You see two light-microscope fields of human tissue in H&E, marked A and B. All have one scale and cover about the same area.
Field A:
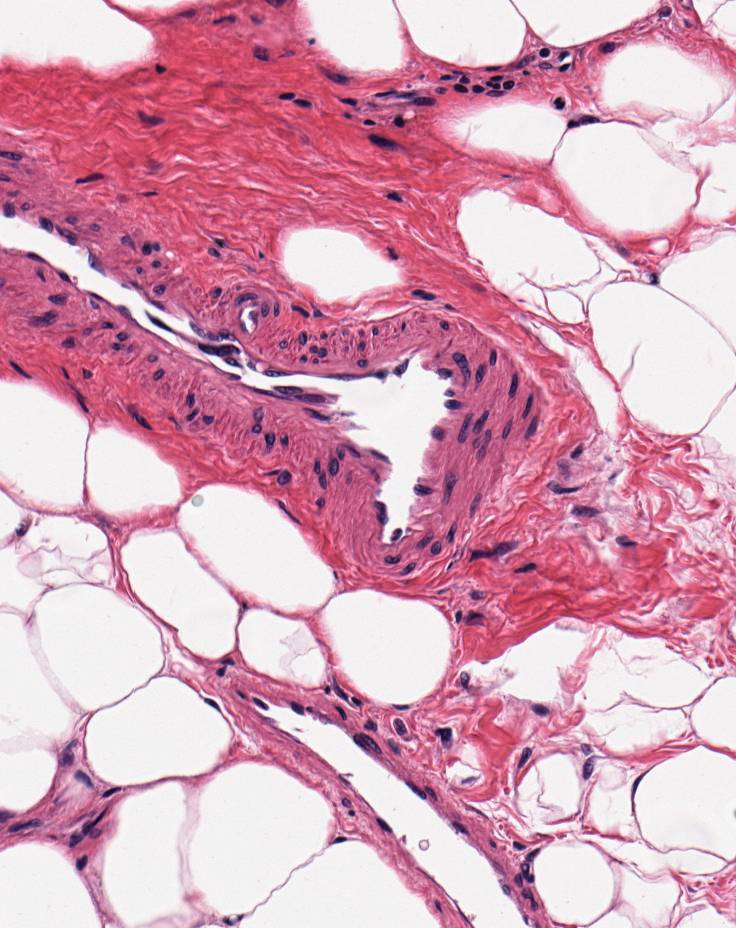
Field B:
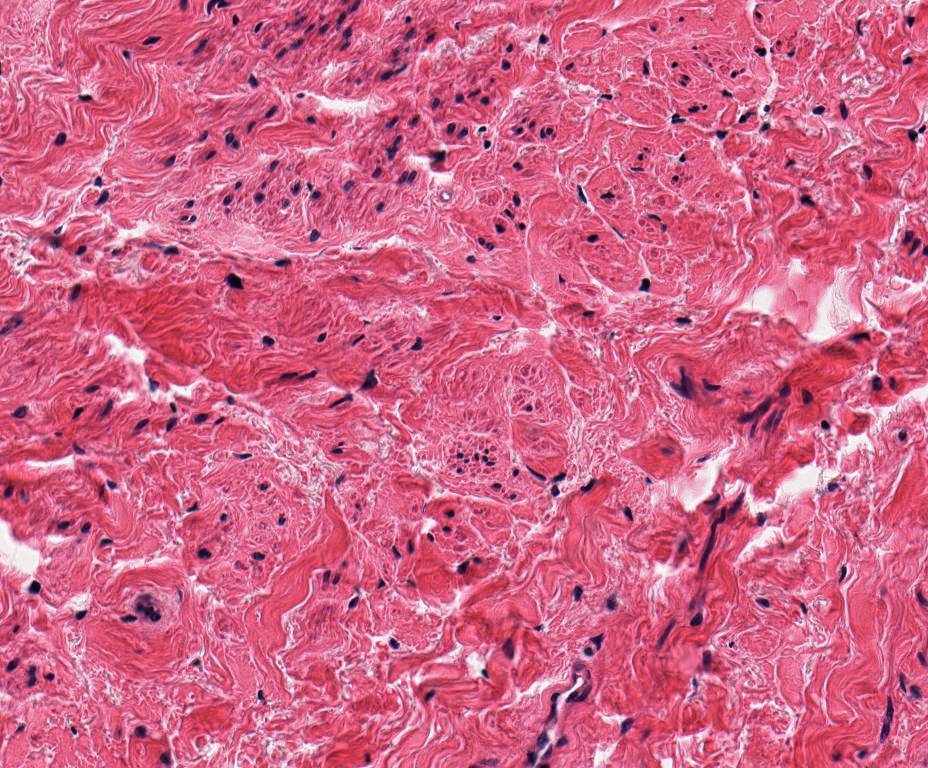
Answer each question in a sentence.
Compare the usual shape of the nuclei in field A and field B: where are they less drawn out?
The nuclei are rounder in field B.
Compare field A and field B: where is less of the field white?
Field B has less white space.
